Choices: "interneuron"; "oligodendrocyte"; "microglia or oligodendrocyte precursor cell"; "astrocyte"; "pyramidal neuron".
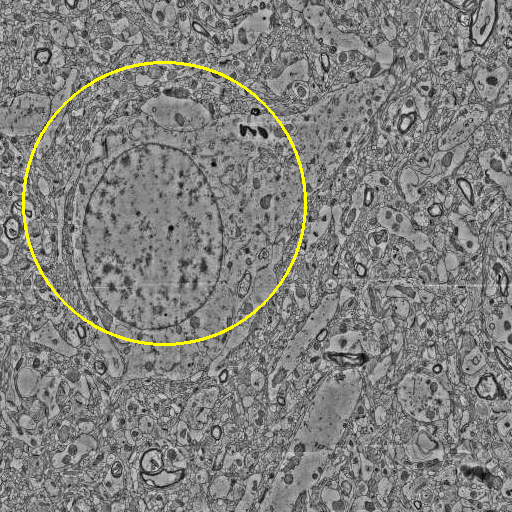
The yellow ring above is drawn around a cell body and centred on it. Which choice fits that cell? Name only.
pyramidal neuron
